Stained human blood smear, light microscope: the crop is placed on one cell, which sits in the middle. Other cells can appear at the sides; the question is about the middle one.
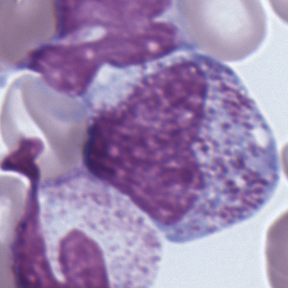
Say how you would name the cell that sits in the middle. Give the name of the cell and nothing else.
promyelocyte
